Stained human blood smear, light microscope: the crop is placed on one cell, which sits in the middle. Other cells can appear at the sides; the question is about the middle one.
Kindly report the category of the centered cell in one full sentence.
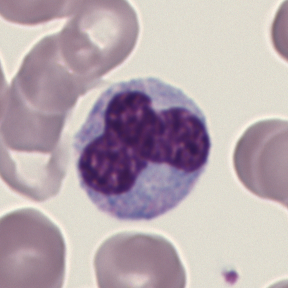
The cell in the middle of the field of view is a monocyte.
